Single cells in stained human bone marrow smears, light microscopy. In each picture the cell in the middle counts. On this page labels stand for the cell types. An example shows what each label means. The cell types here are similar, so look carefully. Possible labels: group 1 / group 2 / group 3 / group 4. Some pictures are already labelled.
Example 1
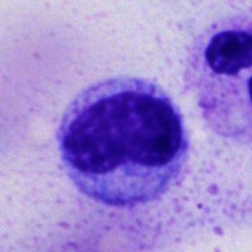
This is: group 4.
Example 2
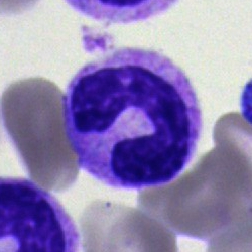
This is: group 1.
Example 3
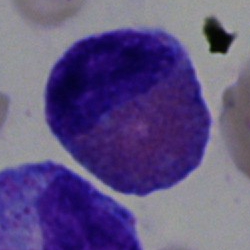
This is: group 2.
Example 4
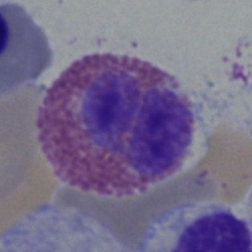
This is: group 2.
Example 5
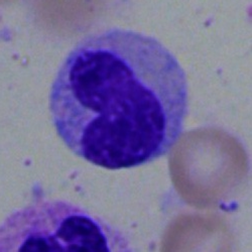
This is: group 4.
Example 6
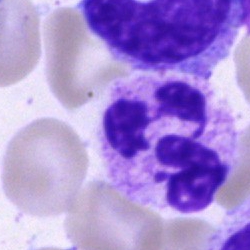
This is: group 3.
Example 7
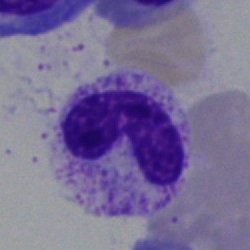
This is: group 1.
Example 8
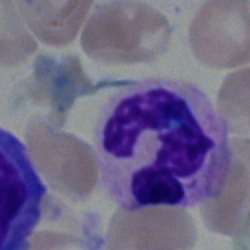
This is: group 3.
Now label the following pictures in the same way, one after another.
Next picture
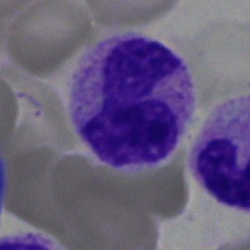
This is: group 1.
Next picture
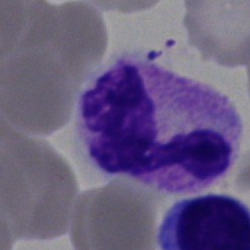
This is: group 3.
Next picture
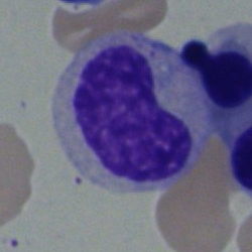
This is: group 4.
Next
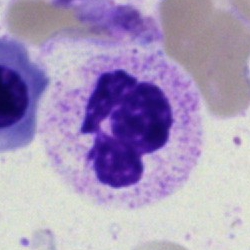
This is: group 3.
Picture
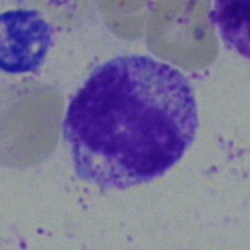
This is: group 4.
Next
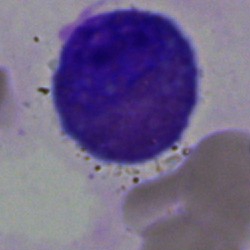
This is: group 2.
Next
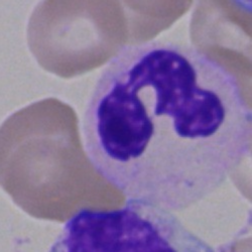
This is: group 3.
